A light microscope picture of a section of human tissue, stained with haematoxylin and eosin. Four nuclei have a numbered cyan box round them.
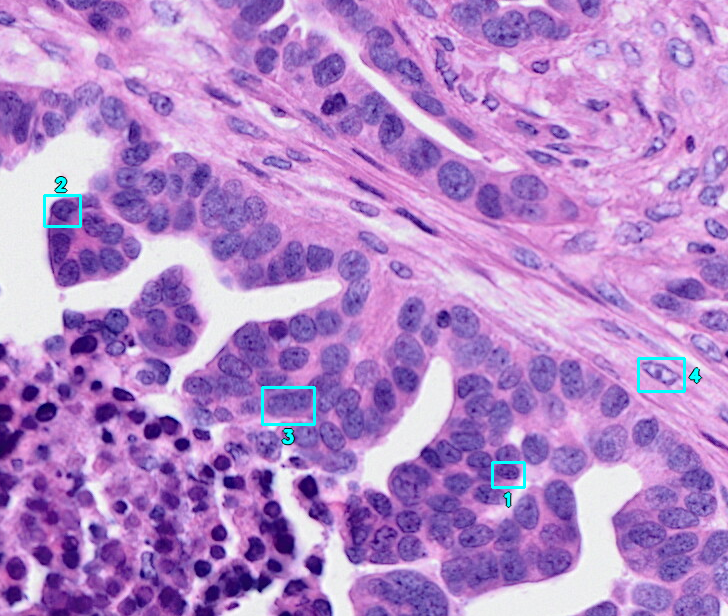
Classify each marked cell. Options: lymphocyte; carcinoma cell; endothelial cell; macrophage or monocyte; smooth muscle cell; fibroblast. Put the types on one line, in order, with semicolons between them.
carcinoma cell; carcinoma cell; carcinoma cell; fibroblast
